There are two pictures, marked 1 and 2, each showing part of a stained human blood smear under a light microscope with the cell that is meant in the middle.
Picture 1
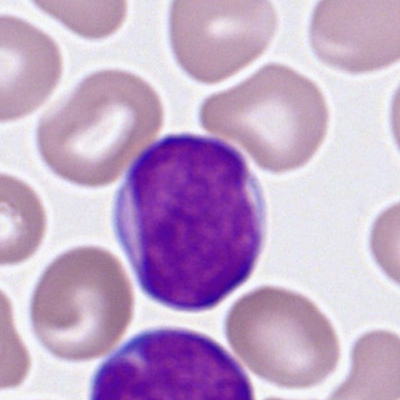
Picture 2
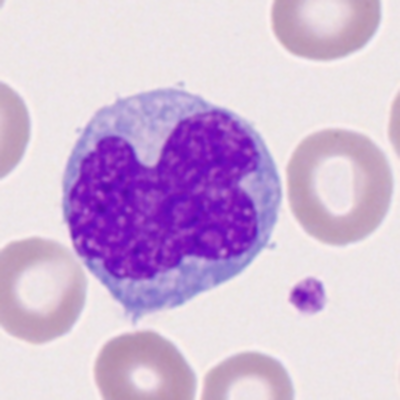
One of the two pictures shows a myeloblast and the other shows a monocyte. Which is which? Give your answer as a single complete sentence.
It is picture 1 that shows a myeloblast, and picture 2 that shows a monocyte.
